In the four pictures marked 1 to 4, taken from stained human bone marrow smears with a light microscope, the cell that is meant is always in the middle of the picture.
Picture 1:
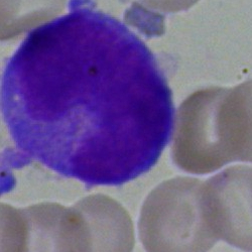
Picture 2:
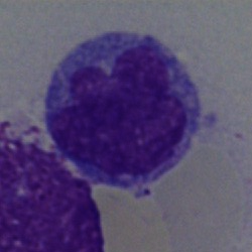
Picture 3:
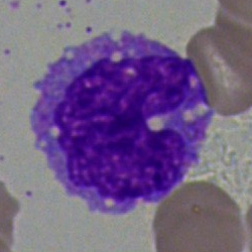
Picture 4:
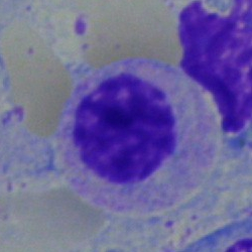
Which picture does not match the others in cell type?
4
